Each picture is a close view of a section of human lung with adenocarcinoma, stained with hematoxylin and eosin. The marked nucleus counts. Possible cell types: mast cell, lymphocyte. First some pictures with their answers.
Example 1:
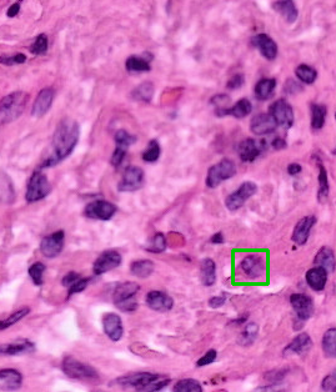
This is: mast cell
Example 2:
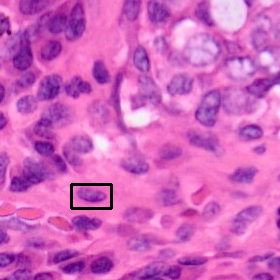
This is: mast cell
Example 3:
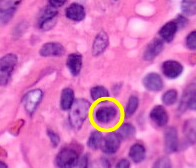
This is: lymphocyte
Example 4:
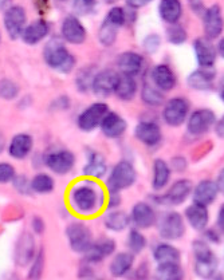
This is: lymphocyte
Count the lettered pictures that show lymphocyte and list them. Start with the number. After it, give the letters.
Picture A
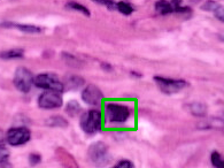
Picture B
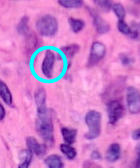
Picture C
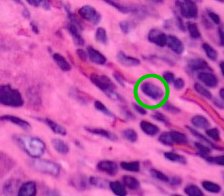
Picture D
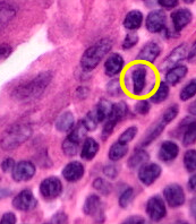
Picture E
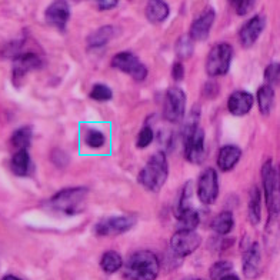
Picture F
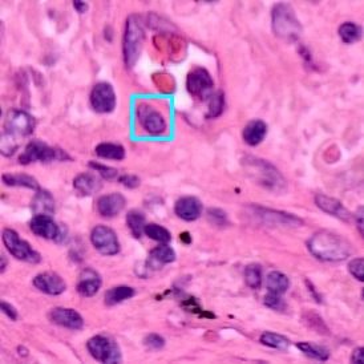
5: A, B, C, D, E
